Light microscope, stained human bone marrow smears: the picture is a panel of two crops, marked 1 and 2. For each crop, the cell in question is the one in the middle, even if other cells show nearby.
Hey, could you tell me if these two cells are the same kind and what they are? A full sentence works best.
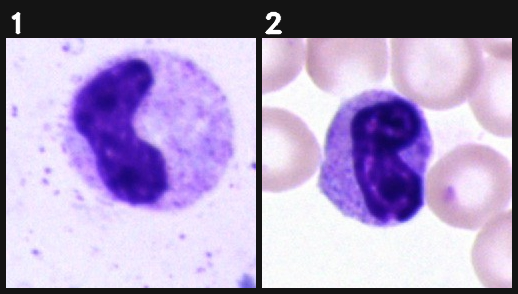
Yes, the cells that both crops show at the centre are band neutrophils.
